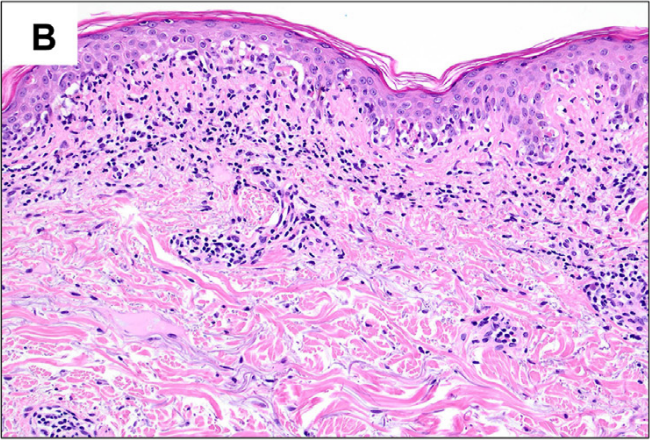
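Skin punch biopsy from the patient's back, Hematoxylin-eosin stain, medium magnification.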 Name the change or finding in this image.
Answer: Vacuolar interface dermatitis.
